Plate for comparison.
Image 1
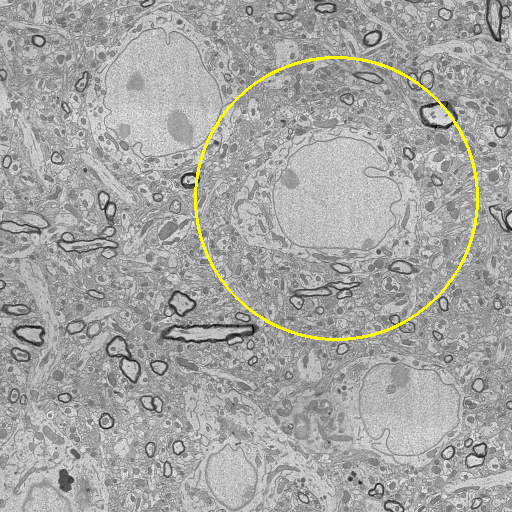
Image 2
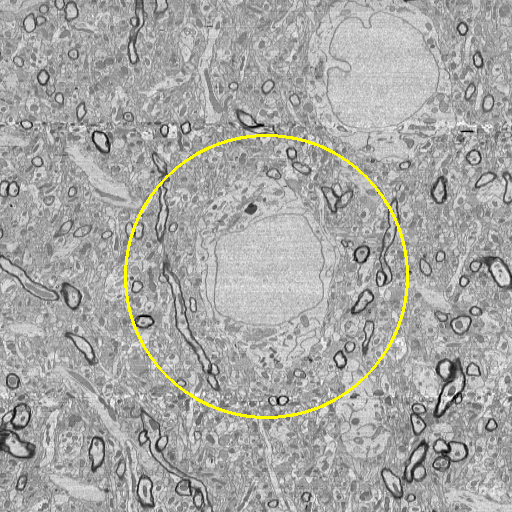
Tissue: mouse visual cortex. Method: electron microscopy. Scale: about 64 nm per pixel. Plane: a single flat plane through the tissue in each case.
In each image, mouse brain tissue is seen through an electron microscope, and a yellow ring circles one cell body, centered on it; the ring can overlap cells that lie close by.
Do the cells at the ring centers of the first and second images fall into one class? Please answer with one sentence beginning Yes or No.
Yes, the first and second images show a single class of cell at the ring centers.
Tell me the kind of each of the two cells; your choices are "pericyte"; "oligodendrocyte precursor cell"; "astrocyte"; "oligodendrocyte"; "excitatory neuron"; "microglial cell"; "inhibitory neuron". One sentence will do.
Both cells are the same kind, each one being an excitatory neuron.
